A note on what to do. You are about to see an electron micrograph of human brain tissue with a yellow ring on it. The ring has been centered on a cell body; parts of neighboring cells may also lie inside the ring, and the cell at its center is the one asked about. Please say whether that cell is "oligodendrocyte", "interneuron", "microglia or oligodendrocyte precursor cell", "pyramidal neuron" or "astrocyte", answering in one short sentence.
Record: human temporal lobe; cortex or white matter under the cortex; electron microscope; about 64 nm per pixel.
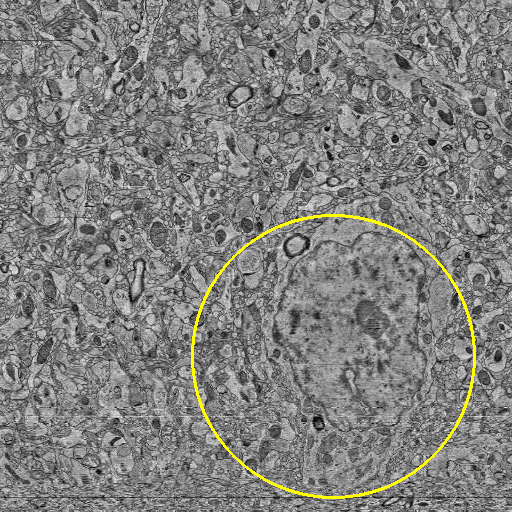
The yellow ring sits on an interneuron.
